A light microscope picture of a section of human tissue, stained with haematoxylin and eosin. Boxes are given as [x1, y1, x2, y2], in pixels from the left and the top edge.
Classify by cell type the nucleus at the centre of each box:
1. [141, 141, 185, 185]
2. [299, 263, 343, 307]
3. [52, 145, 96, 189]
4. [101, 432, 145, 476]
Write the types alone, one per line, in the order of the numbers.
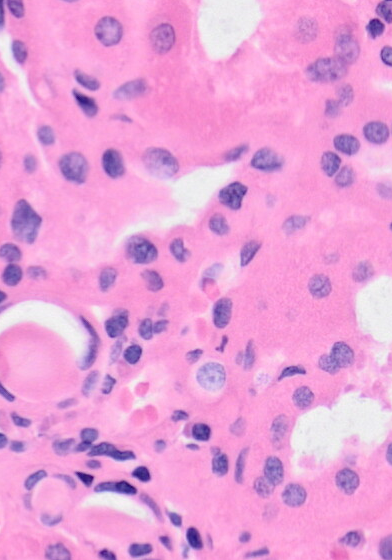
loop of Henle or distal tubule cell
loop of Henle or distal tubule cell
loop of Henle or distal tubule cell
endothelial cell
